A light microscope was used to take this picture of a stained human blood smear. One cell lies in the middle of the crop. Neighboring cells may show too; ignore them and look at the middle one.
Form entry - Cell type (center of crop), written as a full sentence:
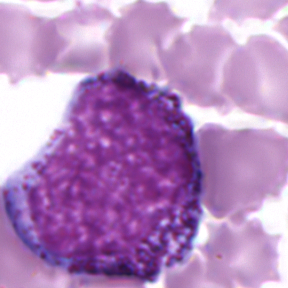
Standing at the centre of this crop is a promyelocyte.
